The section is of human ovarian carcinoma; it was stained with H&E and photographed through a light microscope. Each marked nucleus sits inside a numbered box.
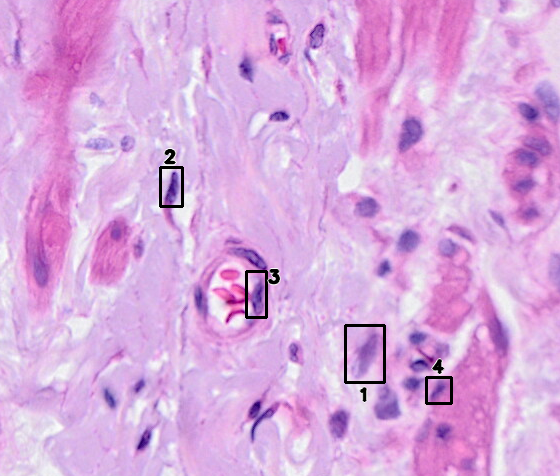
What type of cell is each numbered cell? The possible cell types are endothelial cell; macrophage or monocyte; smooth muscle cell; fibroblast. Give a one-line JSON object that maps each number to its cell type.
{"1": "fibroblast", "2": "fibroblast", "3": "endothelial cell", "4": "smooth muscle cell"}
